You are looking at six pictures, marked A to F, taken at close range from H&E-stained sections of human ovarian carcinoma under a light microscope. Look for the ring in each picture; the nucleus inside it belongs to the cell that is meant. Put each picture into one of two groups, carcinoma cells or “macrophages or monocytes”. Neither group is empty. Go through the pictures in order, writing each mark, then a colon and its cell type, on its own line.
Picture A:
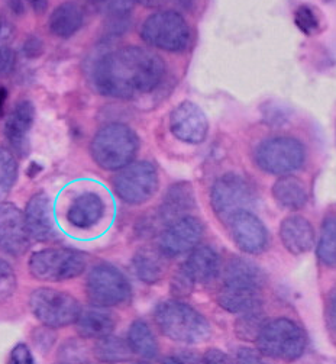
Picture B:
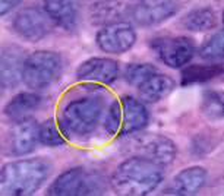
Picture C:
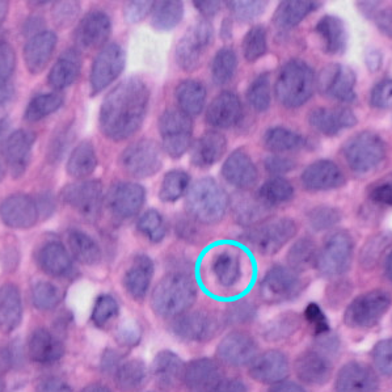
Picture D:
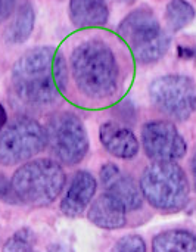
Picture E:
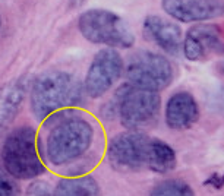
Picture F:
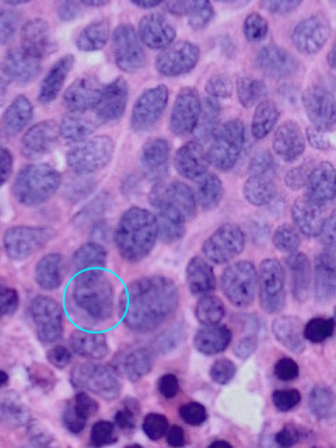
A: macrophage or monocyte
B: carcinoma cell
C: macrophage or monocyte
D: carcinoma cell
E: carcinoma cell
F: carcinoma cell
